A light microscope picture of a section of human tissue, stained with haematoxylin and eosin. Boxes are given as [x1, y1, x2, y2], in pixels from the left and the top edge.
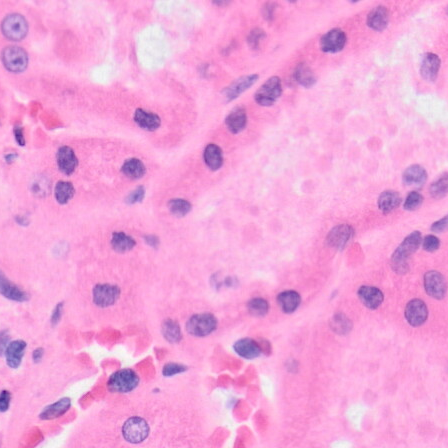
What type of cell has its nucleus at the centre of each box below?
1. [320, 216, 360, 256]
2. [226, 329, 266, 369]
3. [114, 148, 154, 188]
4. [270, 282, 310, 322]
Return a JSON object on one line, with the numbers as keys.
{"1": "proximal tubule cell", "2": "endothelial cell", "3": "proximal tubule cell", "4": "proximal tubule cell"}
